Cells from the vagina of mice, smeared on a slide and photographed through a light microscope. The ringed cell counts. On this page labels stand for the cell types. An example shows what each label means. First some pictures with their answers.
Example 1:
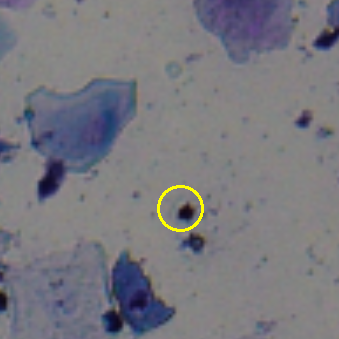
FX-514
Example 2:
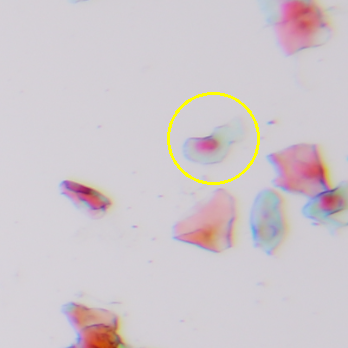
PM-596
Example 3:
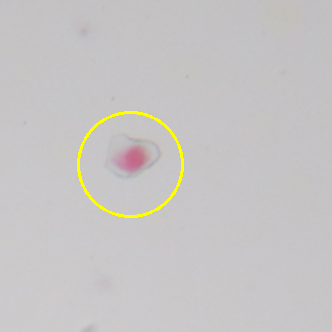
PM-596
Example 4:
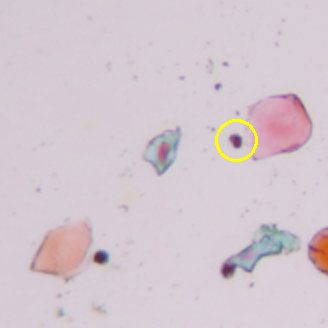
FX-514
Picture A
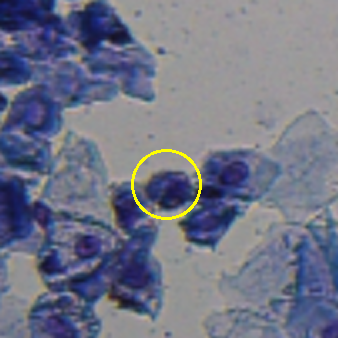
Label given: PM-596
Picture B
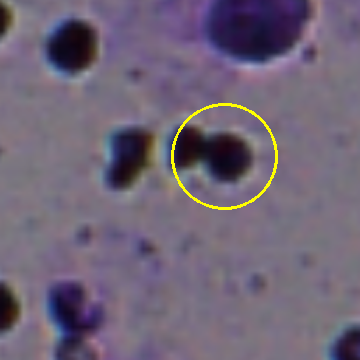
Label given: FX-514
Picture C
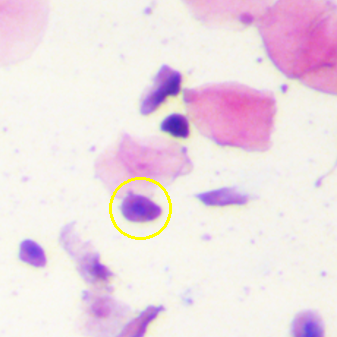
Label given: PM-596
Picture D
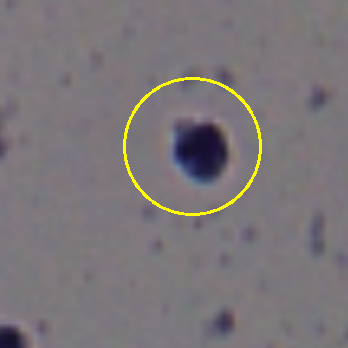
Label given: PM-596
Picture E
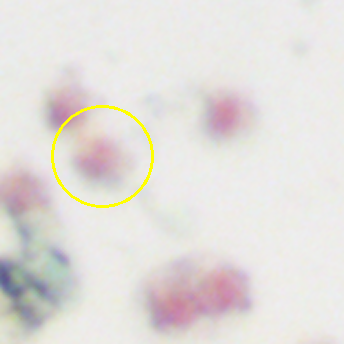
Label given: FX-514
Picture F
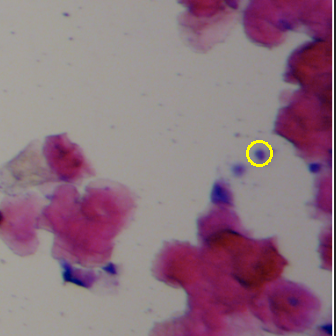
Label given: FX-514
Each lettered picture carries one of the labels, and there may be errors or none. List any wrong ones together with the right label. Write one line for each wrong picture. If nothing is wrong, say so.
D: FX-514, not PM-596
